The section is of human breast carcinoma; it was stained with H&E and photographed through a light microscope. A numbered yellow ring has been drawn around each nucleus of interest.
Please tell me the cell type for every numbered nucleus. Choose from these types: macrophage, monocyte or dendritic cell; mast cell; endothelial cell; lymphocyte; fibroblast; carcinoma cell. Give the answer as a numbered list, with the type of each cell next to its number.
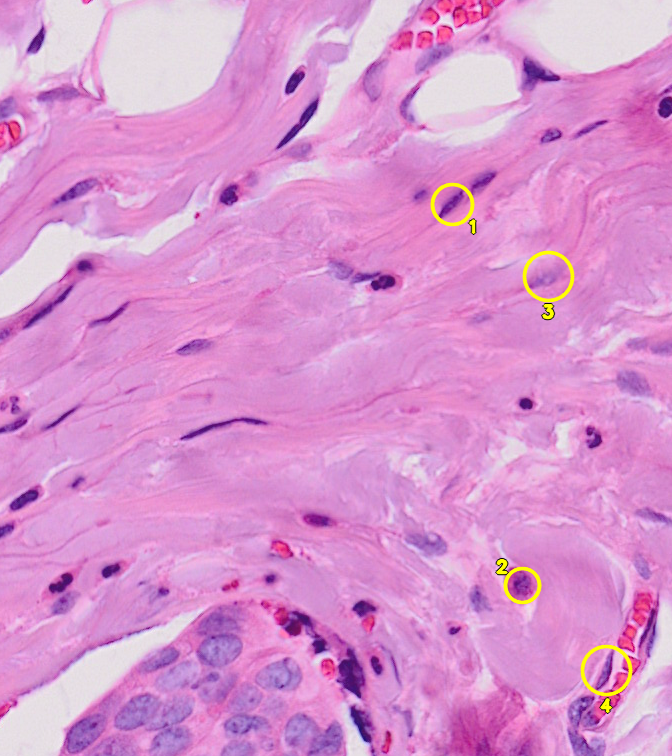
1. fibroblast
2. mast cell
3. fibroblast
4. endothelial cell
